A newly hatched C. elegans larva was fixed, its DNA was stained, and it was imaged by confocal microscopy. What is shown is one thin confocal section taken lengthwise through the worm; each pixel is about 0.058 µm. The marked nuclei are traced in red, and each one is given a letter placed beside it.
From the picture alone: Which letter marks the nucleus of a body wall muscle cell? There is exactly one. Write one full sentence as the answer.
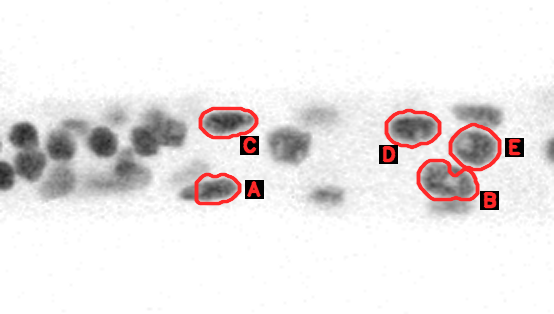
The nucleus of a body wall muscle cell is A.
